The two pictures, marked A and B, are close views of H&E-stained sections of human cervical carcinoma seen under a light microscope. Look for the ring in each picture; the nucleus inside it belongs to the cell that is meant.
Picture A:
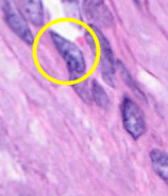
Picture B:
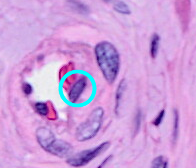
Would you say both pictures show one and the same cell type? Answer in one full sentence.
Yes, they are the same type: both are endothelial cells.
